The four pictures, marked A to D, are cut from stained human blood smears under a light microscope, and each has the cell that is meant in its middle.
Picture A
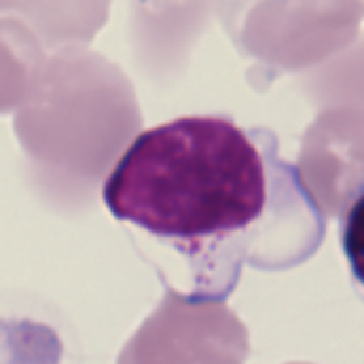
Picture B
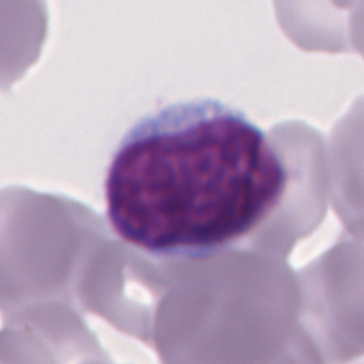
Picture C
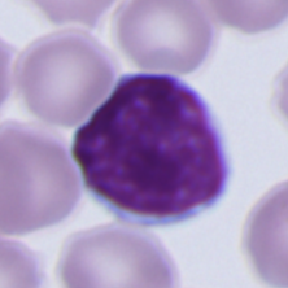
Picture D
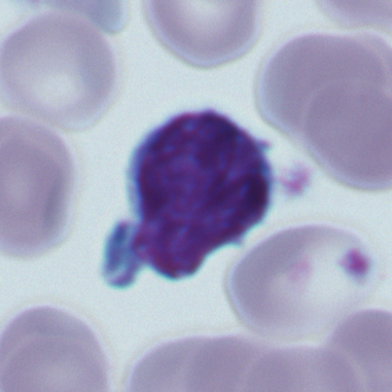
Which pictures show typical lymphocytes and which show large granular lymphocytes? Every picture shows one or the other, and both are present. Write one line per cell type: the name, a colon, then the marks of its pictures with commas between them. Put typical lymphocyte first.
typical lymphocyte: B, C, D
large granular lymphocyte: A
